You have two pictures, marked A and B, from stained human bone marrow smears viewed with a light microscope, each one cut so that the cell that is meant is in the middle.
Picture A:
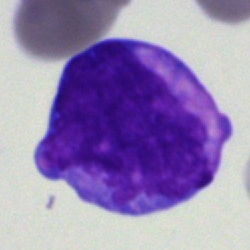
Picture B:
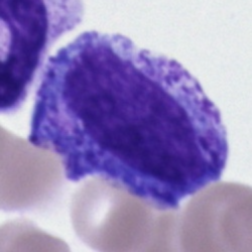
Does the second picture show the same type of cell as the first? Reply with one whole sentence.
No, the types are not the same, since picture A shows a blast and picture B a promyelocyte.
